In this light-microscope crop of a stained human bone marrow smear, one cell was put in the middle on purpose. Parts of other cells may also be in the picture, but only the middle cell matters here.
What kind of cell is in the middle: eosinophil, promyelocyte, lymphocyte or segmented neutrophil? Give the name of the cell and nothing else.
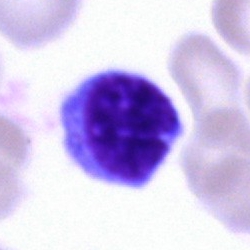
lymphocyte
